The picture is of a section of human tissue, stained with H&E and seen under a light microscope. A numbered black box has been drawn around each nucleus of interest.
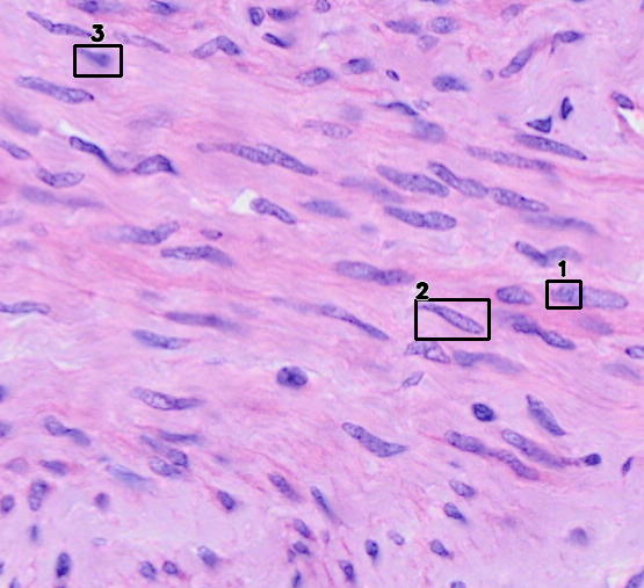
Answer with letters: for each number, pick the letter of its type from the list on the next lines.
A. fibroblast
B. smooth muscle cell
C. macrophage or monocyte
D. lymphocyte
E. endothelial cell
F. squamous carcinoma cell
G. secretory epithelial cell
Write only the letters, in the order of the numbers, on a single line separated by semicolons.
B; B; A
